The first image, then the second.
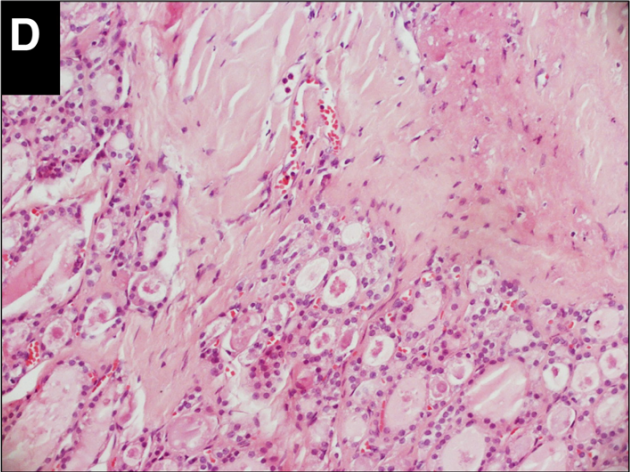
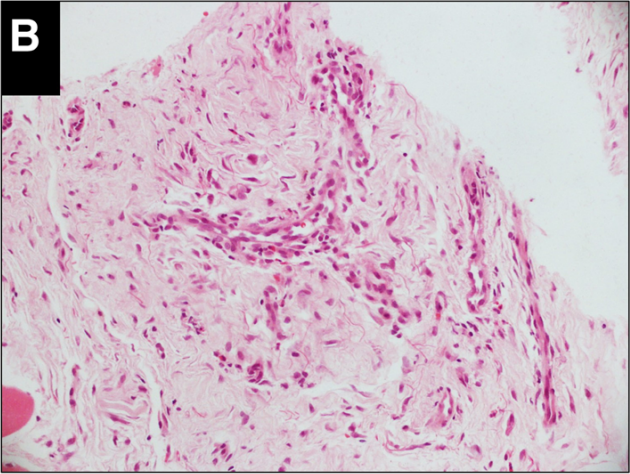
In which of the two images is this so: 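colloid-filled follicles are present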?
the first image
